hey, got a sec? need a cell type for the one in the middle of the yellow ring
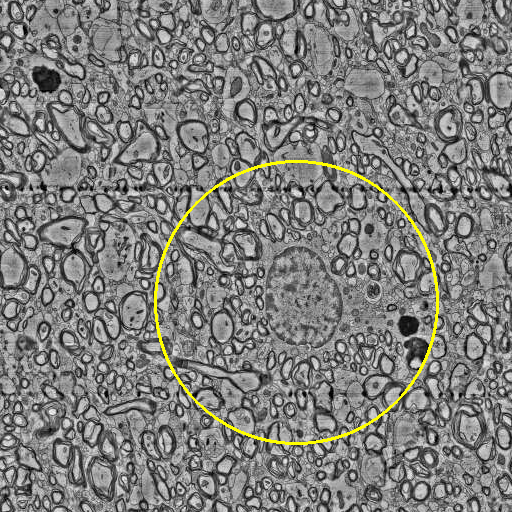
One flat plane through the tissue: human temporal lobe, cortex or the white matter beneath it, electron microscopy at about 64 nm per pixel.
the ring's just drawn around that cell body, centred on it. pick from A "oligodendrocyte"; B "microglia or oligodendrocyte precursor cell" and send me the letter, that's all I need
A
